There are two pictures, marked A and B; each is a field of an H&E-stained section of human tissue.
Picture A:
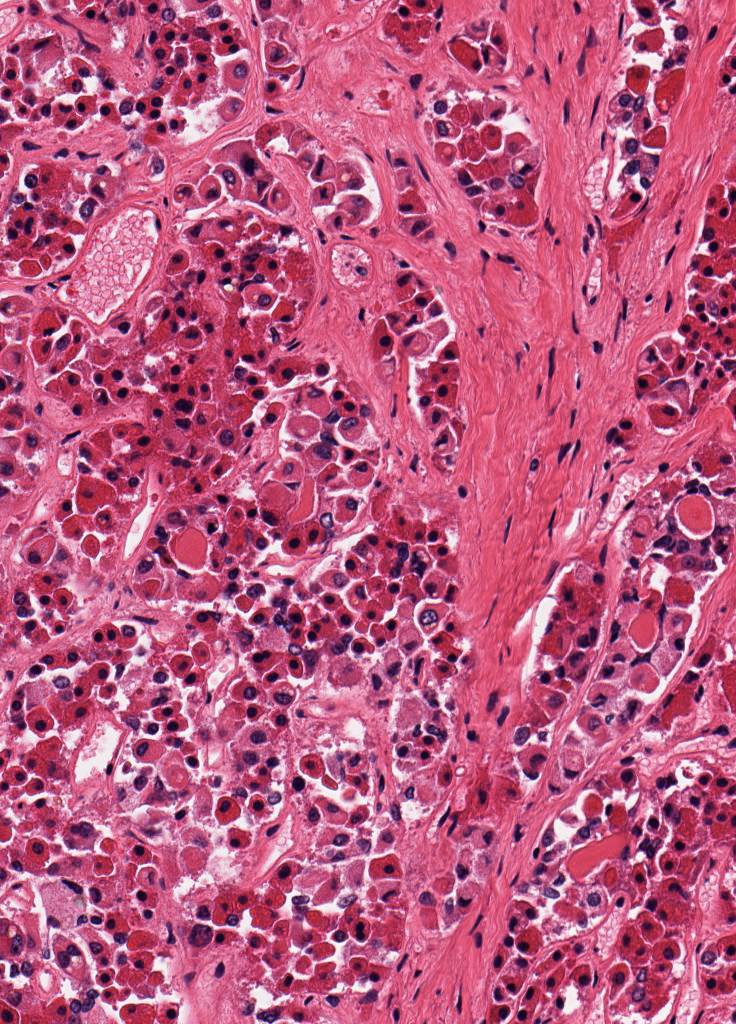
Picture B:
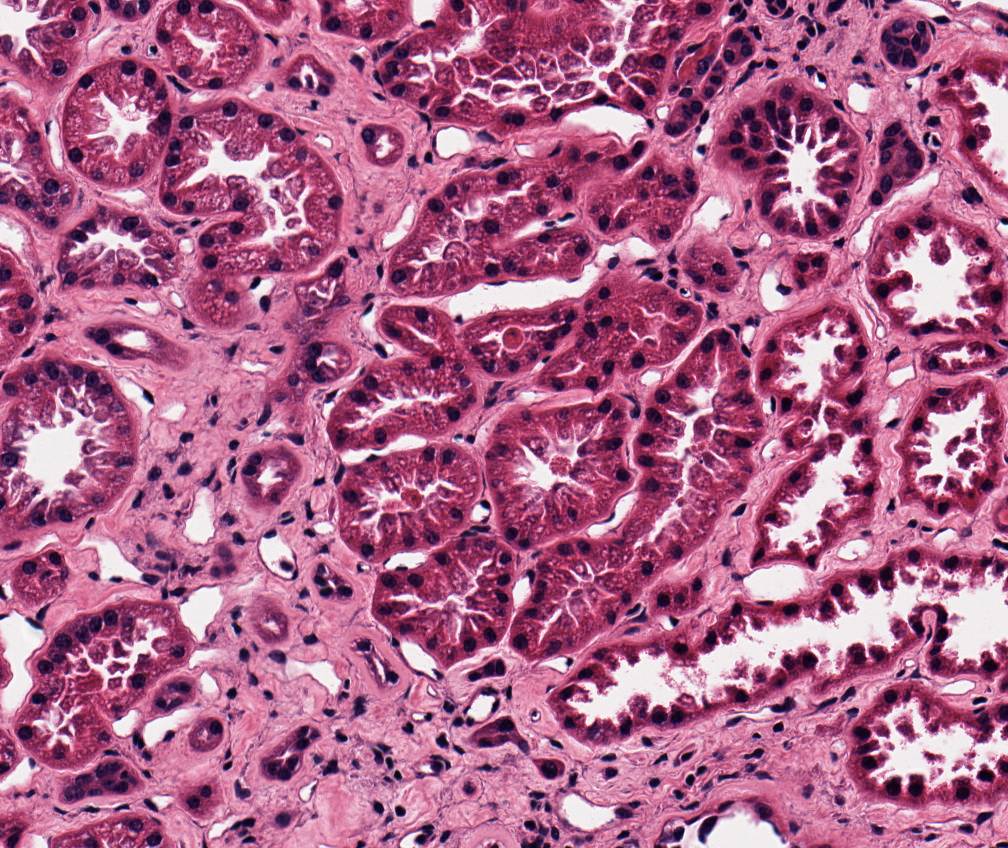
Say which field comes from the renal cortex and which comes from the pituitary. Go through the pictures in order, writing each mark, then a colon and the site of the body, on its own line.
A: pituitary
B: renal cortex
